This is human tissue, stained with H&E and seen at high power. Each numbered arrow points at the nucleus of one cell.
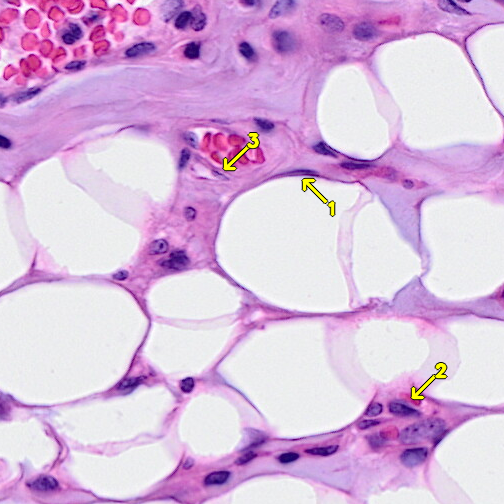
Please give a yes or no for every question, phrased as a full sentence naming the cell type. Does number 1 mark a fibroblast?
Yes, the cell identified by number 1 is a fibroblast.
